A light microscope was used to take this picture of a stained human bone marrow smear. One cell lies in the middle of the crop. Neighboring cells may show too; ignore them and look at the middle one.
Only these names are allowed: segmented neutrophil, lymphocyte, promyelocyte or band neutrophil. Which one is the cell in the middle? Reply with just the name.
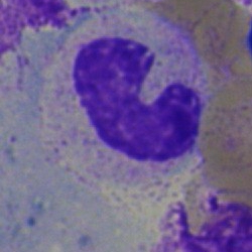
band neutrophil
